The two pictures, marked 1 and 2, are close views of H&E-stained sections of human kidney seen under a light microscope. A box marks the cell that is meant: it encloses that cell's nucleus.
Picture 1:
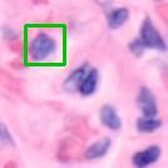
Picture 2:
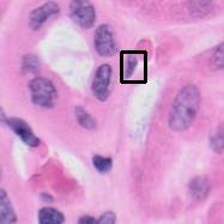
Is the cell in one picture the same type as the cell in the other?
yes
